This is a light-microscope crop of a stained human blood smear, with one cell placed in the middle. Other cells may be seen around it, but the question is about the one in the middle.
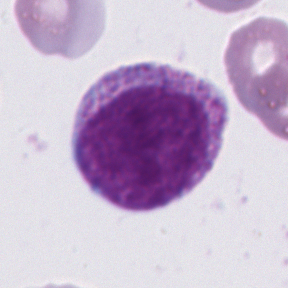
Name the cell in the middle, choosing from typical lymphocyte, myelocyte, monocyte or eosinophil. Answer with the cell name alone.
myelocyte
